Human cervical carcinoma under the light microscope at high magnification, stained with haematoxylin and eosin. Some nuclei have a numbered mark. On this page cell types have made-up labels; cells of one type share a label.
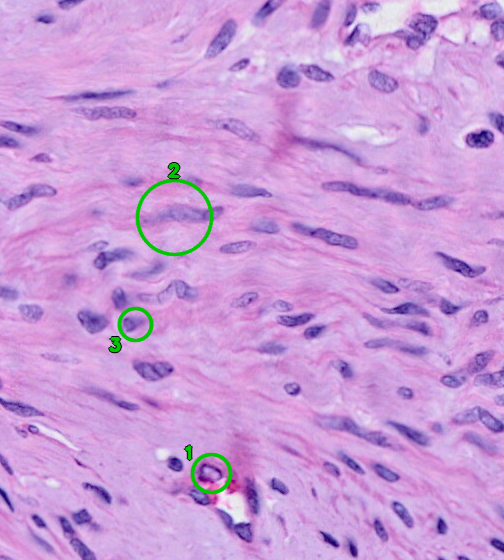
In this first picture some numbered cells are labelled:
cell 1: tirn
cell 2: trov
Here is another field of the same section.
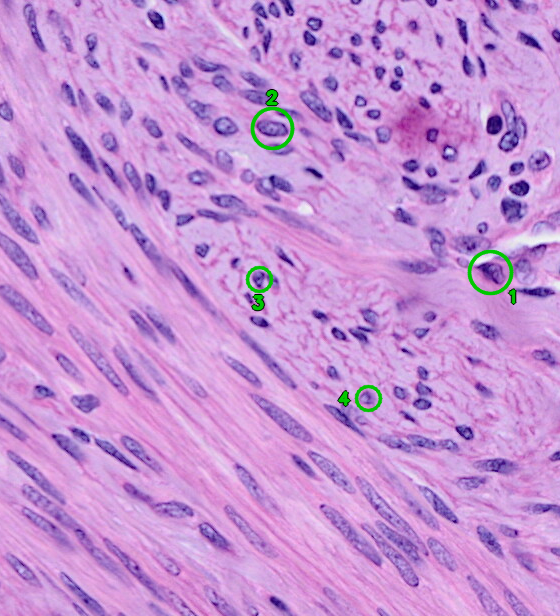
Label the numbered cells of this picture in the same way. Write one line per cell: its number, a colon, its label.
1: tirn
2: trov
3: trov
4: trov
